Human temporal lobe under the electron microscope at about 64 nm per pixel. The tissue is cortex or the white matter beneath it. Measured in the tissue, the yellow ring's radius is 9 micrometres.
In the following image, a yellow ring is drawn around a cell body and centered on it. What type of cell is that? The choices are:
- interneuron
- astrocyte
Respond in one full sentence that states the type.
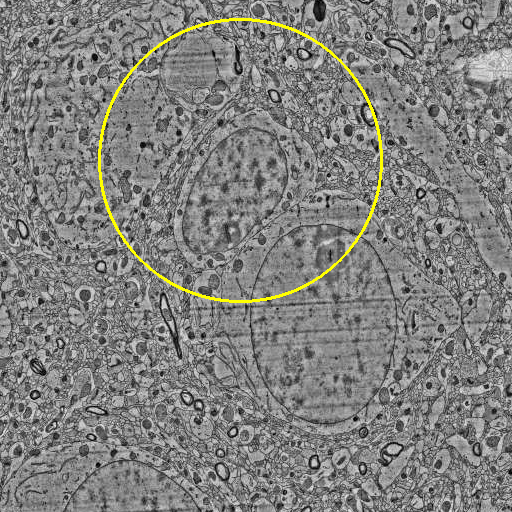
The cell at the center of the yellow ring in the image is an interneuron.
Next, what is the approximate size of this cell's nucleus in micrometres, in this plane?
The nucleus of the ringed cell is clearly longer than it is wide in this plane, about 9 by 5 micrometres.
